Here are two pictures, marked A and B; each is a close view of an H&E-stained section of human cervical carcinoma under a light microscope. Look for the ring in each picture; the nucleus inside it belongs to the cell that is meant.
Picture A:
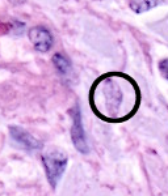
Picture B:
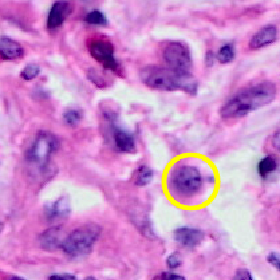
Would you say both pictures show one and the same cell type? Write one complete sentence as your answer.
No. Picture A shows a fibroblast, but picture B shows a “macrophage or monocyte”.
